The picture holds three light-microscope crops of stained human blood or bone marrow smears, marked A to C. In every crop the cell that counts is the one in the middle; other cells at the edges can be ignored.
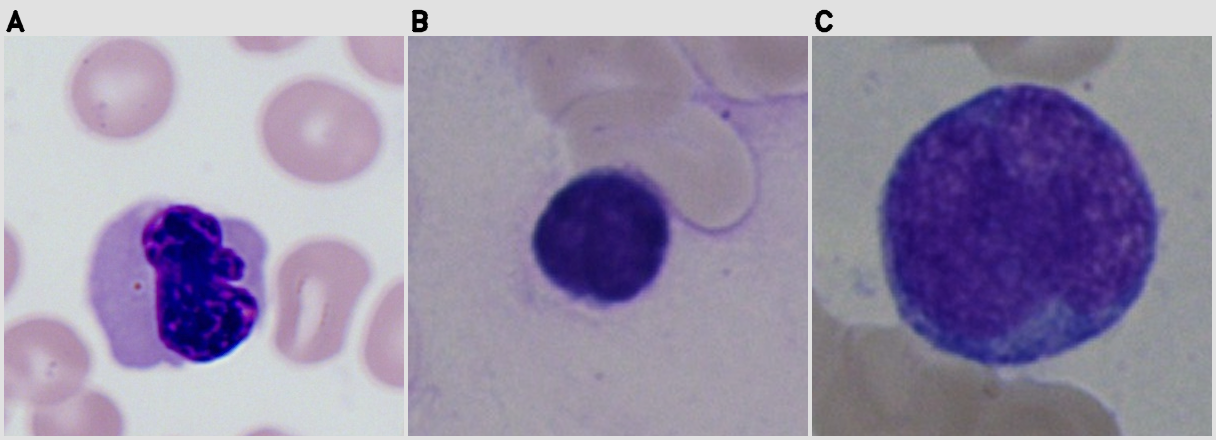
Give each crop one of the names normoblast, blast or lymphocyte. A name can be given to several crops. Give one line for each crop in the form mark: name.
A: normoblast
B: lymphocyte
C: blast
